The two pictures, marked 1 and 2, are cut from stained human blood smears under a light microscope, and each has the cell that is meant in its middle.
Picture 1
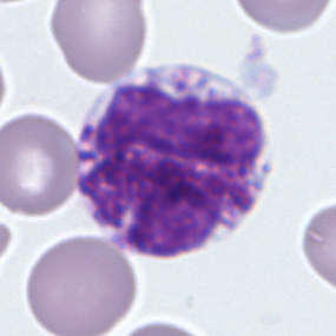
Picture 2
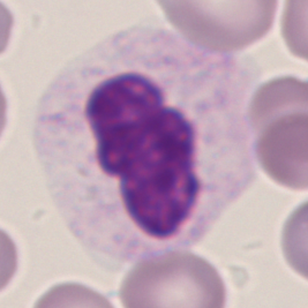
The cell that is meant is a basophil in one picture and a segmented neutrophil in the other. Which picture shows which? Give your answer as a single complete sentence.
It is picture 1 that shows a basophil, and picture 2 that shows a segmented neutrophil.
